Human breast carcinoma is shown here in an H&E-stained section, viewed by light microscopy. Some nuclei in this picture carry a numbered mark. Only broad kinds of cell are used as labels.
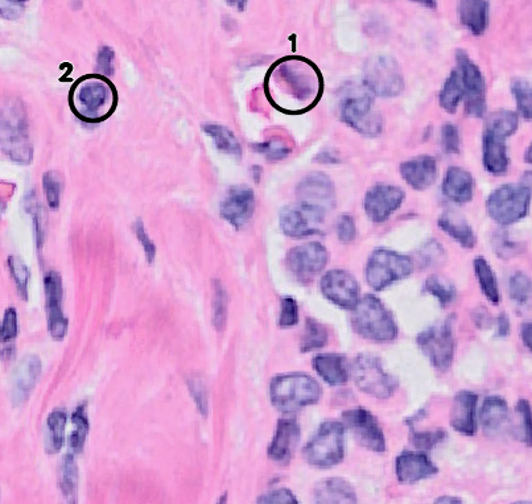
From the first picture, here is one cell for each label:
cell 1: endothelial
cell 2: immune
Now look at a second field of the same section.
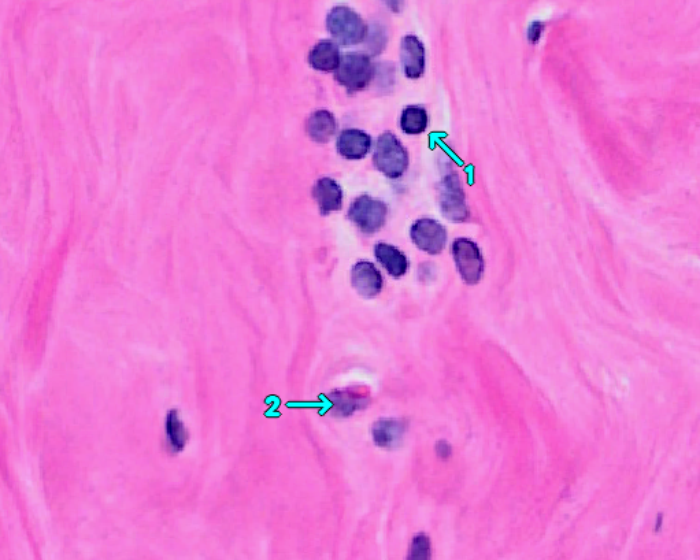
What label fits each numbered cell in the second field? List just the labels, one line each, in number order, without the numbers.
immune
endothelial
